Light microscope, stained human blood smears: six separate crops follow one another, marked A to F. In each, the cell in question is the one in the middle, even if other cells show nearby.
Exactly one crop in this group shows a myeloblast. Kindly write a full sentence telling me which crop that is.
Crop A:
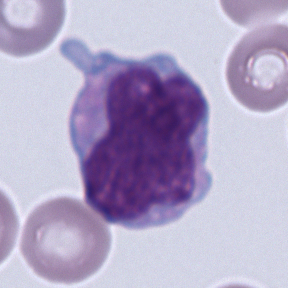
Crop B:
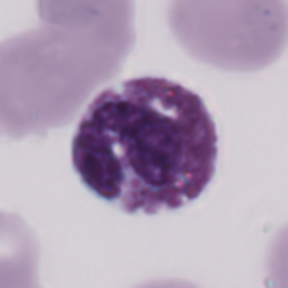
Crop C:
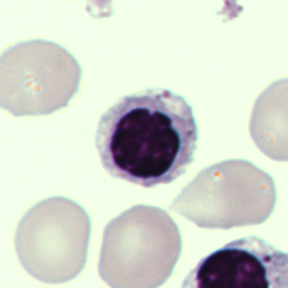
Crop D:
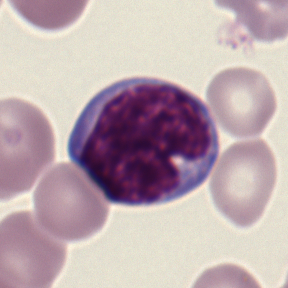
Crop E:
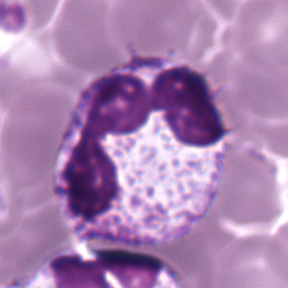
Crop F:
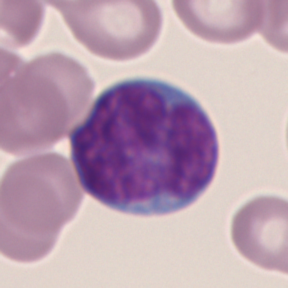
Of the labeled crops, the one with a myeloblast is crop F.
